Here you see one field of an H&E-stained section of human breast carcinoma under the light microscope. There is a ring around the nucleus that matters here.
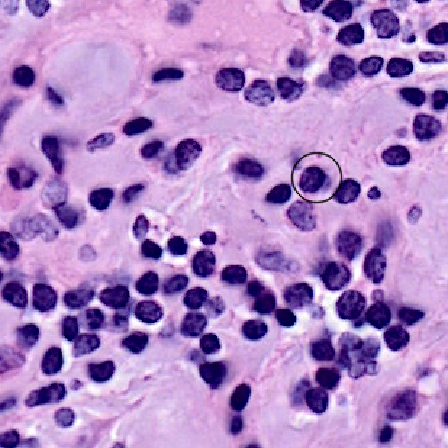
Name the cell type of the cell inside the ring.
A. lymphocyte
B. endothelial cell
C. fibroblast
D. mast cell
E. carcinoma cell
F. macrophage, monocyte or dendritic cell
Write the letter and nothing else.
A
